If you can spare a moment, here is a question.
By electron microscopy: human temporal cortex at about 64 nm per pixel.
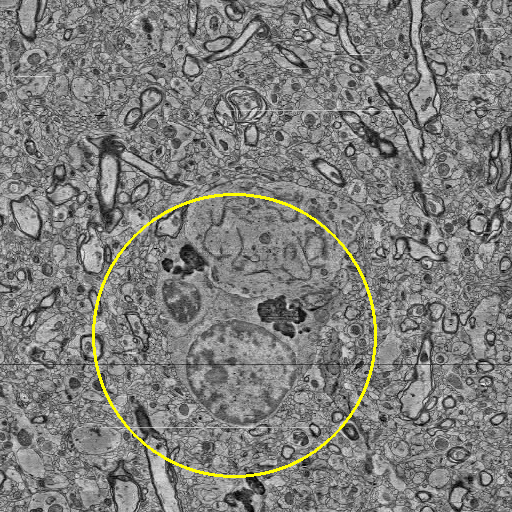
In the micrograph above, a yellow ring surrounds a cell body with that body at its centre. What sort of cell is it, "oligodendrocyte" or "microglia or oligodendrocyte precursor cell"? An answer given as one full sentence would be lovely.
Centred inside the yellow ring, the cell body shown belongs to an oligodendrocyte in this micrograph.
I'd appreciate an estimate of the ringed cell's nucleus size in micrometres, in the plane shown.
In this plane, the nucleus measures approximately 7 micrometres across.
